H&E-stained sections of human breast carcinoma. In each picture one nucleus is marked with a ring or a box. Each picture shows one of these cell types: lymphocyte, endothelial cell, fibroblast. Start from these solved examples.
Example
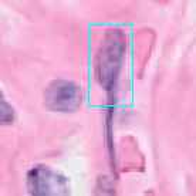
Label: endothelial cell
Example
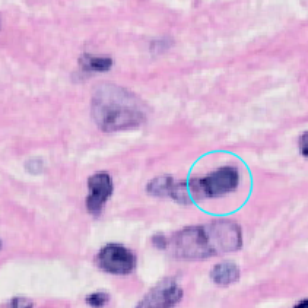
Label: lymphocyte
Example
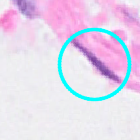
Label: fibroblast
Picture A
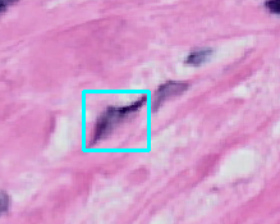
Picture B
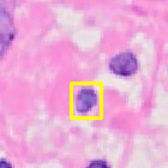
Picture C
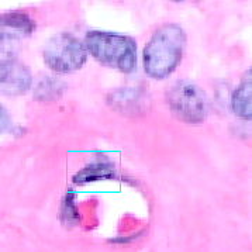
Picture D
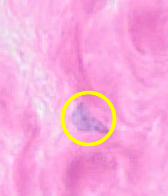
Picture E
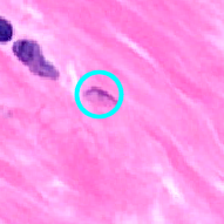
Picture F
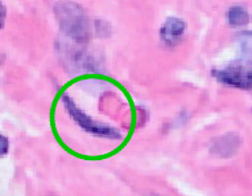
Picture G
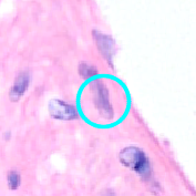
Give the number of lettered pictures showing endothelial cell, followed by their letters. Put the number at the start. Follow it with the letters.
Count: 3 (C, F, G)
